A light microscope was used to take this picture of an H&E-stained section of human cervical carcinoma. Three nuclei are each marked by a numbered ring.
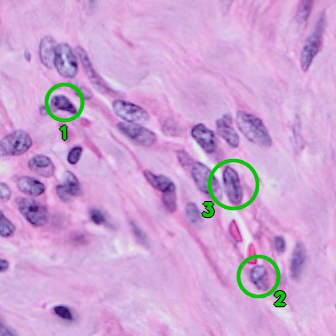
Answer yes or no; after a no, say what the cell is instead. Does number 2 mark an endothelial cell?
Yes.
